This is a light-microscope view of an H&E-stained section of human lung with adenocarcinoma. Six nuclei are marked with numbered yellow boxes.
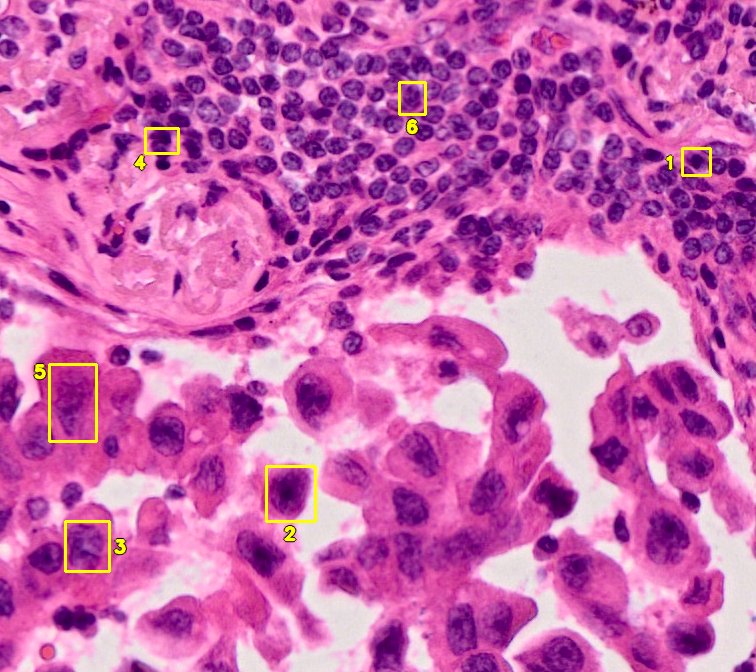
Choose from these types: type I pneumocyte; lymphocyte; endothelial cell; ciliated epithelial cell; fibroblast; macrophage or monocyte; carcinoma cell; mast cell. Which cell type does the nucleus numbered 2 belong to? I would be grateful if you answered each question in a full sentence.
What the number 2 marks in this field is a carcinoma cell.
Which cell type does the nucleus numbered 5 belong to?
Of the numbered cells, the one labelled 5 is a carcinoma cell.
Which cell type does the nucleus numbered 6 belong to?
In the tissue shown, cell 6 is a lymphocyte.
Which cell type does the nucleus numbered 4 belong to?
Heads up, the cell numbered 4 is a lymphocyte.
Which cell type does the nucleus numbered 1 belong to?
The marked cell with the number 1 is recognised as a lymphocyte.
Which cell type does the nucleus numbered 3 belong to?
Identified as a carcinoma cell is the cell bearing the number 3.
